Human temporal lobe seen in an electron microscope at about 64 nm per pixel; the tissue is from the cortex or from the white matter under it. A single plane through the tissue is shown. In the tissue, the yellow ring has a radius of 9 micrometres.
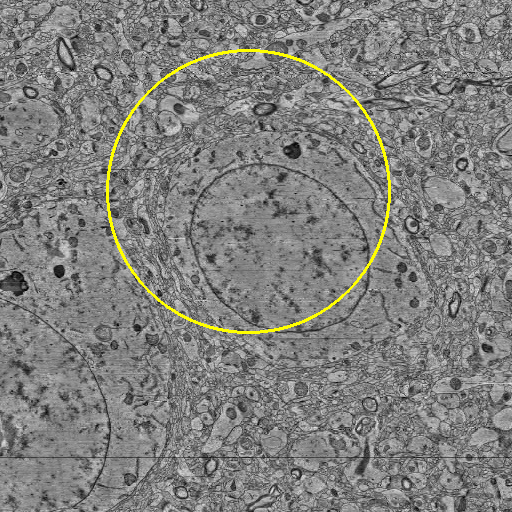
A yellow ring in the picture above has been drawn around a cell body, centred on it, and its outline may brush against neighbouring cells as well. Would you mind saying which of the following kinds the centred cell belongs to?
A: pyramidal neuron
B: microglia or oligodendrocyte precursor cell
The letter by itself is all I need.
A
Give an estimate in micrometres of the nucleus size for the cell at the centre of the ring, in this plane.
The nucleus appears roughly 12 by 11 micrometres in this plane.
